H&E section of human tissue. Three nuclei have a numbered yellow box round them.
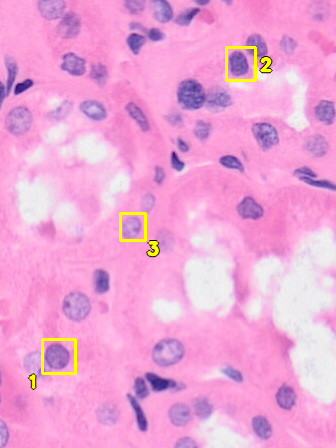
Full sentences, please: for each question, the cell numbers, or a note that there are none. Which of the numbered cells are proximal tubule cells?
Cells 1 and 3 are classified as proximal tubule cells.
